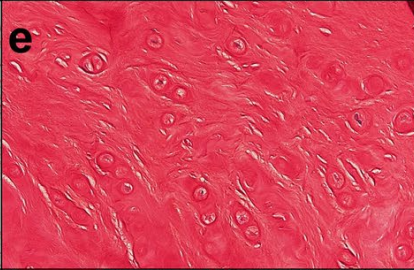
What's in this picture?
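A uniformly deep red matrix with a faintly fibrous, wavy texture contains scattered rounded cells, each sitting in a clear lacuna. Around many lacunae the matrix forms a denser, more intensely red rim. Cells lie singly or in small pairs rather than in large groups, and nuclei are faint.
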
